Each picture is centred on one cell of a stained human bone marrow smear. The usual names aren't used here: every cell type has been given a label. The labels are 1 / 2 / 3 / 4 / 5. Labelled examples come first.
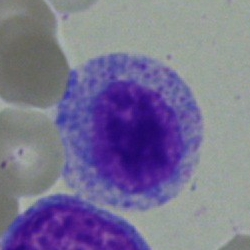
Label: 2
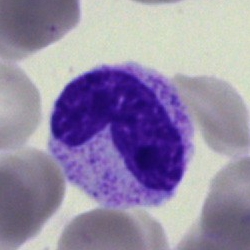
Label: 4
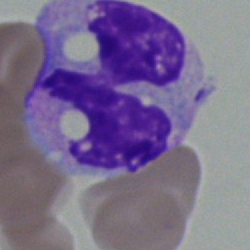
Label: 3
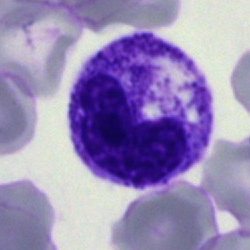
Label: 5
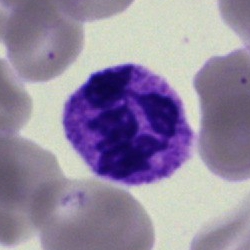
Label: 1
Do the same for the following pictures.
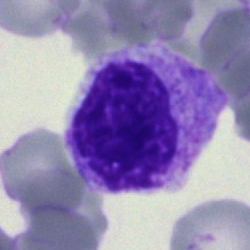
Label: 2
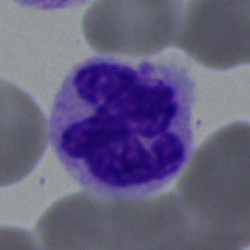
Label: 3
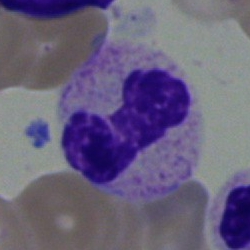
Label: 1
